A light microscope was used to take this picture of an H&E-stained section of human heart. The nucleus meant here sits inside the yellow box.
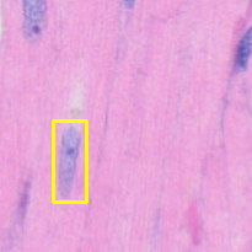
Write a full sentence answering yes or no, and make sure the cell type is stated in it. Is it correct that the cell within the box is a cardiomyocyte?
Yes, the cell within the box is a cardiomyocyte in this section.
